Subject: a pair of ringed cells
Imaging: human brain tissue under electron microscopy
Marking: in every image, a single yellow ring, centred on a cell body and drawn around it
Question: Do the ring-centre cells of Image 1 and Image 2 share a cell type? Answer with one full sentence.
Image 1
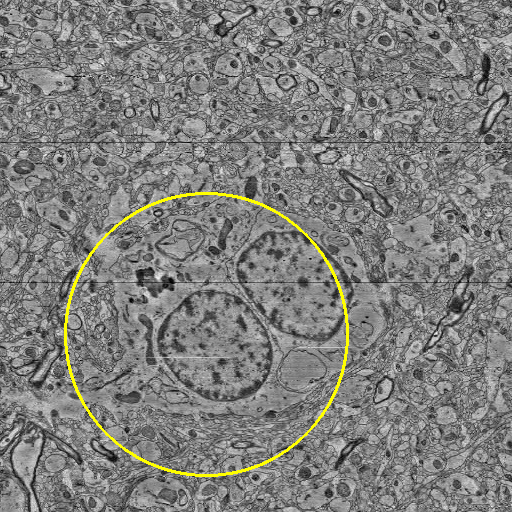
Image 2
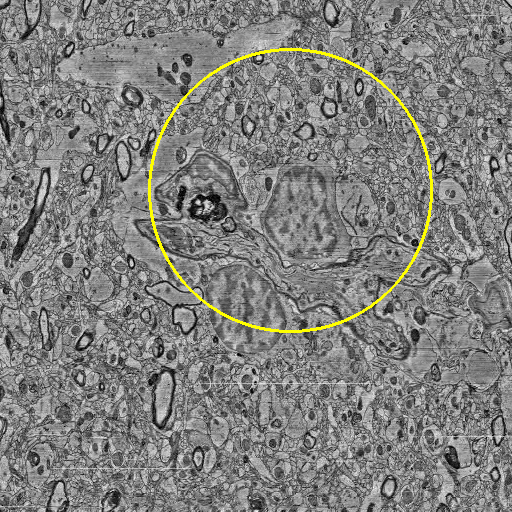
No, at the ring centres in the images sit cells of two separate types.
